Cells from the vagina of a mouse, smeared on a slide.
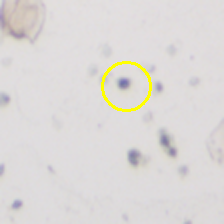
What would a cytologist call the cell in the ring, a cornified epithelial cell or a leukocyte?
A cytologist would call it a leukocyte.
